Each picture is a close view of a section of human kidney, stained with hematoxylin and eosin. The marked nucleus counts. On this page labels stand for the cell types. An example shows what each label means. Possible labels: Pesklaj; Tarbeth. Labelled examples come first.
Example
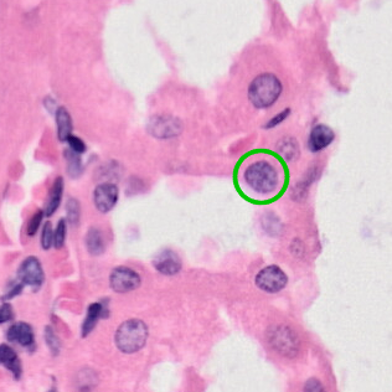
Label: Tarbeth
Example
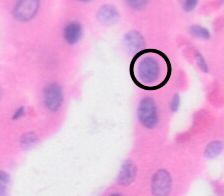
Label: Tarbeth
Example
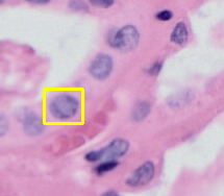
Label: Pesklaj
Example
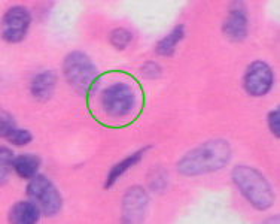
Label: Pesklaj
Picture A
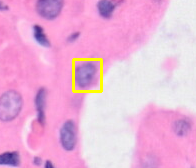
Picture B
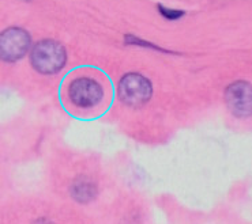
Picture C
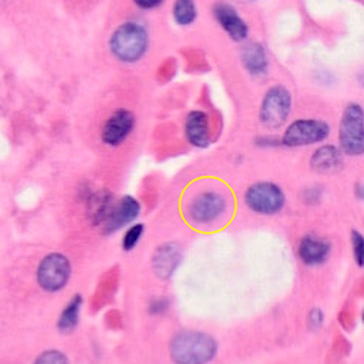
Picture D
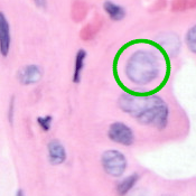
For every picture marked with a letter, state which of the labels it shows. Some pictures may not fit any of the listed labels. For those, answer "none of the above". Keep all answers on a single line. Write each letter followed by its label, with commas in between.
A Tarbeth, B none of the above, C Tarbeth, D Pesklaj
